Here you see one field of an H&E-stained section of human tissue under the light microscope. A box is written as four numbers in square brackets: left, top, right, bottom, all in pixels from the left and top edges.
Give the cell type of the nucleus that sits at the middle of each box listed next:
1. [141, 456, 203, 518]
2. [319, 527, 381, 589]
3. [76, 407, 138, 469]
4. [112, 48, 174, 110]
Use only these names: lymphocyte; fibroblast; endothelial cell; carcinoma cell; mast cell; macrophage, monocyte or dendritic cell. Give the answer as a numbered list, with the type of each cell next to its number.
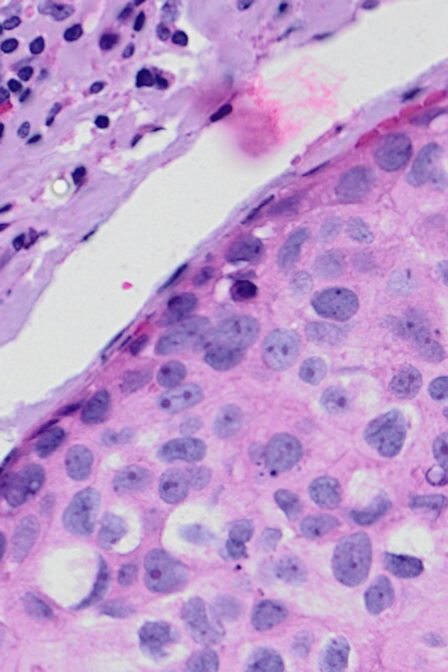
1. carcinoma cell
2. carcinoma cell
3. carcinoma cell
4. lymphocyte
